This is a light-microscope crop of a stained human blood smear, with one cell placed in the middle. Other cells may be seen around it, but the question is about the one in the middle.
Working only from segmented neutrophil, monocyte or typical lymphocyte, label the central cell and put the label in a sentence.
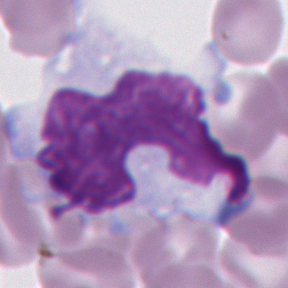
The cell centered in this field of view is a monocyte.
